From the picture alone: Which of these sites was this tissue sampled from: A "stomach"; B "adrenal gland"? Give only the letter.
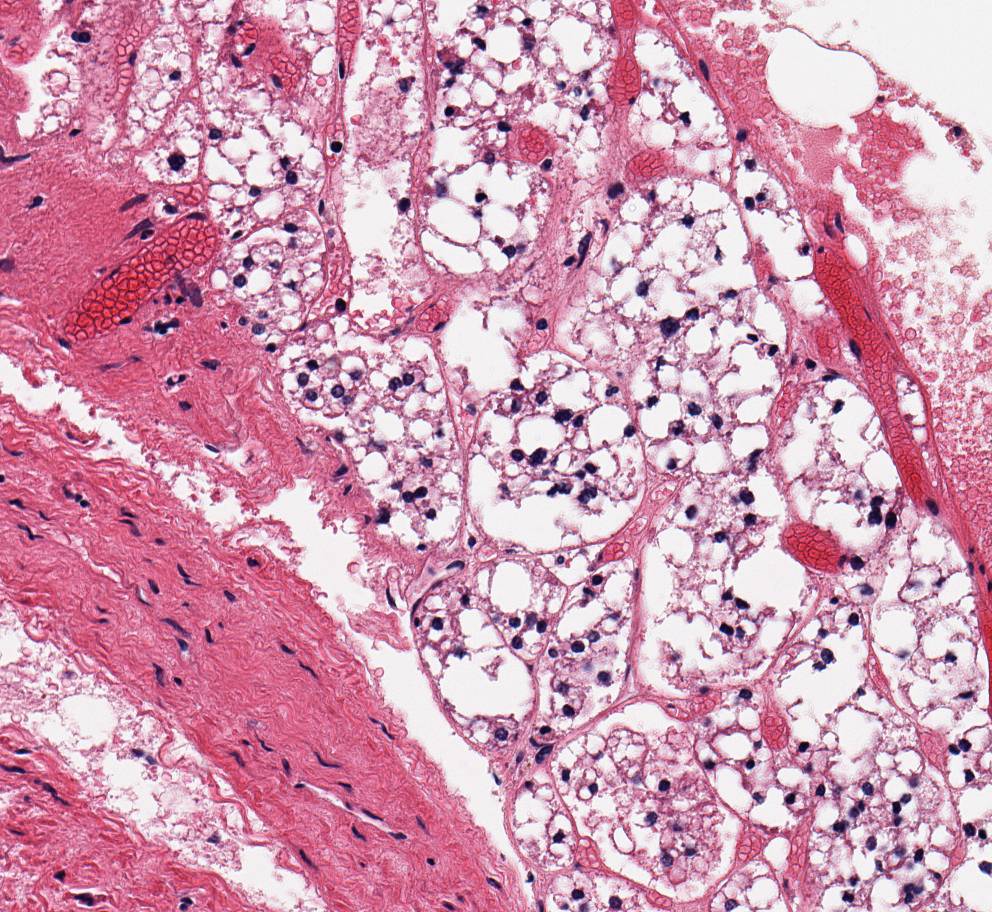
B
